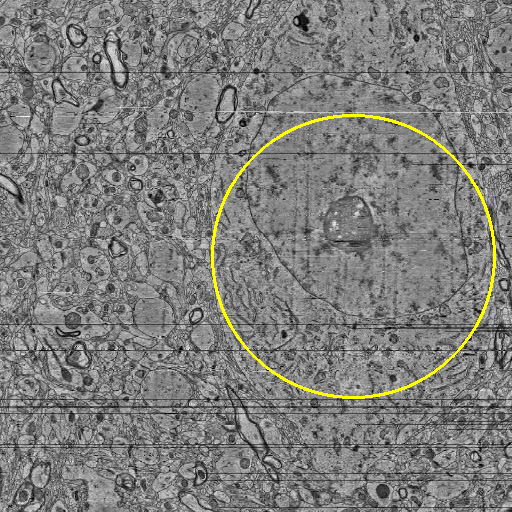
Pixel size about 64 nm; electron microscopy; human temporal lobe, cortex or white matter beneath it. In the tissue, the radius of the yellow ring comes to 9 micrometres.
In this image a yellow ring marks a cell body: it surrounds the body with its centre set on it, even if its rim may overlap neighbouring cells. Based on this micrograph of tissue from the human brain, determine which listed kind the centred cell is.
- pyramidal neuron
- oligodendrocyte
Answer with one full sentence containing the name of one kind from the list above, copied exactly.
It is a pyramidal neuron whose body the yellow ring encloses at its centre.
